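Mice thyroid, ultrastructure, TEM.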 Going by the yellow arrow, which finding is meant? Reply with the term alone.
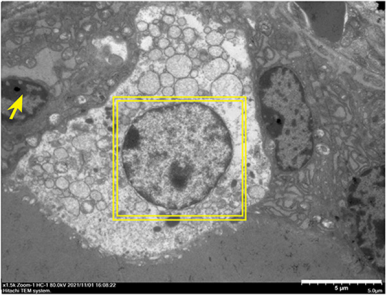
nuclear condensation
